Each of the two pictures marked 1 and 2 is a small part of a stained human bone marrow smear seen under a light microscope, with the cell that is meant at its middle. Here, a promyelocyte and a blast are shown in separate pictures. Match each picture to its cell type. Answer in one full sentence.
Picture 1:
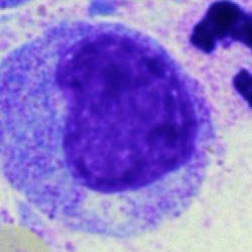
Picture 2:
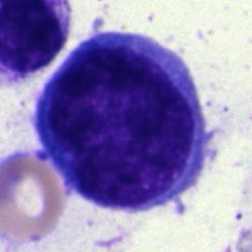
Picture 2 shows a blast, while picture 1 shows a promyelocyte.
